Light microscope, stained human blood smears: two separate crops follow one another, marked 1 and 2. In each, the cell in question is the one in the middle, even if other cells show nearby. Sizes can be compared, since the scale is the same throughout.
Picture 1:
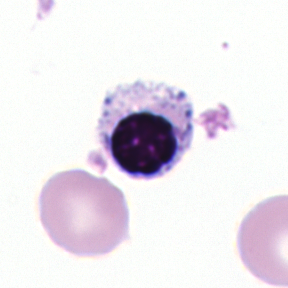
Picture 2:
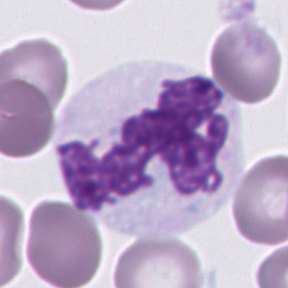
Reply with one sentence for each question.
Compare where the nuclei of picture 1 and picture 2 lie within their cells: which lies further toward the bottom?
Seen within its cell, the nucleus in picture 1 lies further toward the bottom.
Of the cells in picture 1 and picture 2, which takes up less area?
Picture 1 holds the smaller cell, since the cell in picture 2 covers about 4 times as much area.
